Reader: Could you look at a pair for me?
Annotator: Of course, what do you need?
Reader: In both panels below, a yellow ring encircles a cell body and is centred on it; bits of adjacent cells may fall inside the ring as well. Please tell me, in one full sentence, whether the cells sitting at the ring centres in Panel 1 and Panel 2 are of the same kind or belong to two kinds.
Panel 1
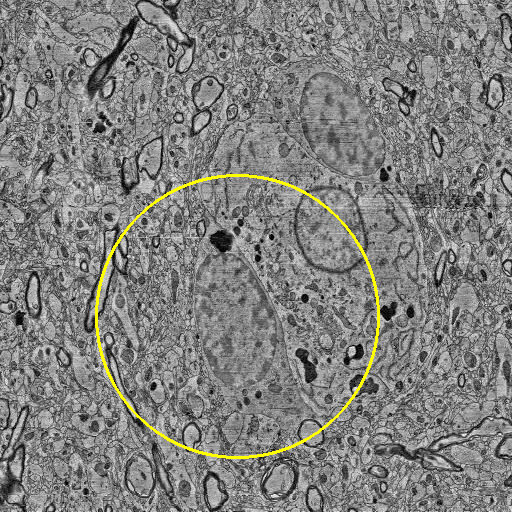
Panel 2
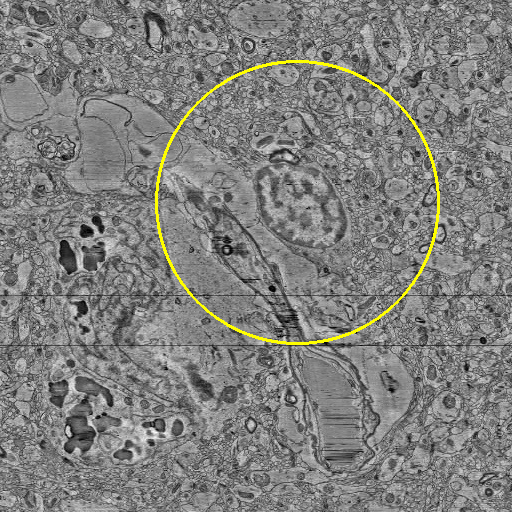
The cell at the ring's centre in Panel 1 and the one in Panel 2 are of the same kind.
